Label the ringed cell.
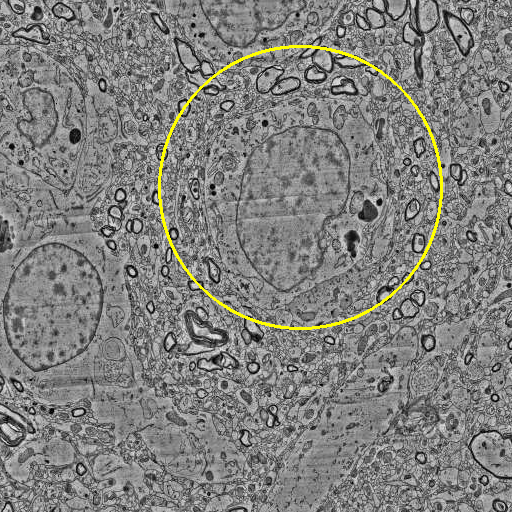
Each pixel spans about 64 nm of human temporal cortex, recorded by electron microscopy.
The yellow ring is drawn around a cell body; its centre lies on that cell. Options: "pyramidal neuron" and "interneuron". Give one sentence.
The ringed cell is a pyramidal neuron.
